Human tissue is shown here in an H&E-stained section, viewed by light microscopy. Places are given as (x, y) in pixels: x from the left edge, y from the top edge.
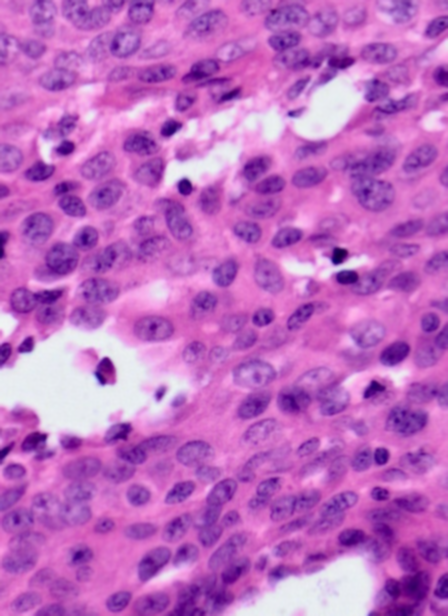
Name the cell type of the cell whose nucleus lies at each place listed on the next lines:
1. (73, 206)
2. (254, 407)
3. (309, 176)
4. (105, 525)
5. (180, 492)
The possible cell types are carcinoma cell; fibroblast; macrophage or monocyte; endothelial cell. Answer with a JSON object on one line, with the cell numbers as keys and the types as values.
{"1": "macrophage or monocyte", "2": "carcinoma cell", "3": "carcinoma cell", "4": "endothelial cell", "5": "macrophage or monocyte"}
